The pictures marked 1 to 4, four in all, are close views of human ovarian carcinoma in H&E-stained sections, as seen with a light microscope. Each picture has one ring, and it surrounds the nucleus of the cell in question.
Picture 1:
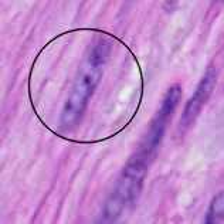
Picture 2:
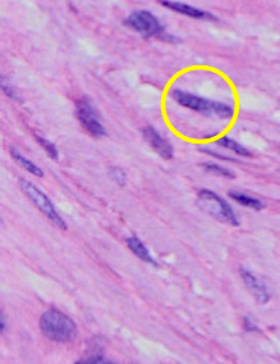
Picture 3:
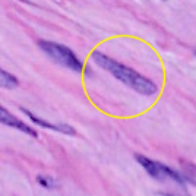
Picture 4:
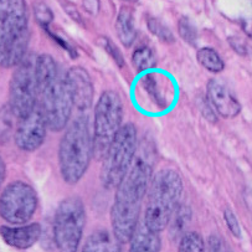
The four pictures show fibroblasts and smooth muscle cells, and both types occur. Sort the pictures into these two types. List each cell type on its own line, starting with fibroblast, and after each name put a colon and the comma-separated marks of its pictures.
fibroblast: 1, 2, 4
smooth muscle cell: 3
